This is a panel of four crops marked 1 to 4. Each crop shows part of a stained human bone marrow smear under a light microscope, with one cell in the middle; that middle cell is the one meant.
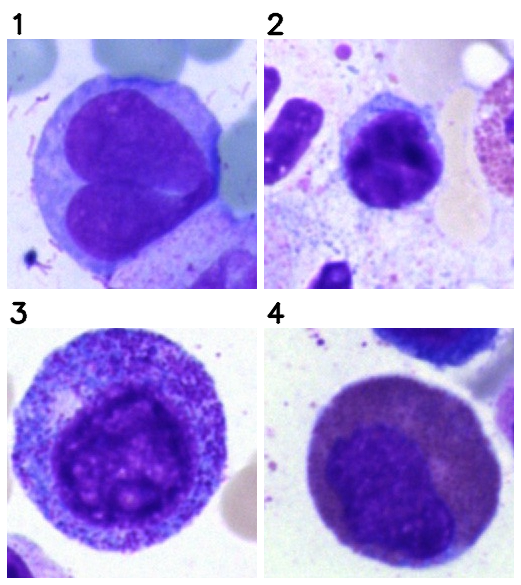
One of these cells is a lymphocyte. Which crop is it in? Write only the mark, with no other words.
2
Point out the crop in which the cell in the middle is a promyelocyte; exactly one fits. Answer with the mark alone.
3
